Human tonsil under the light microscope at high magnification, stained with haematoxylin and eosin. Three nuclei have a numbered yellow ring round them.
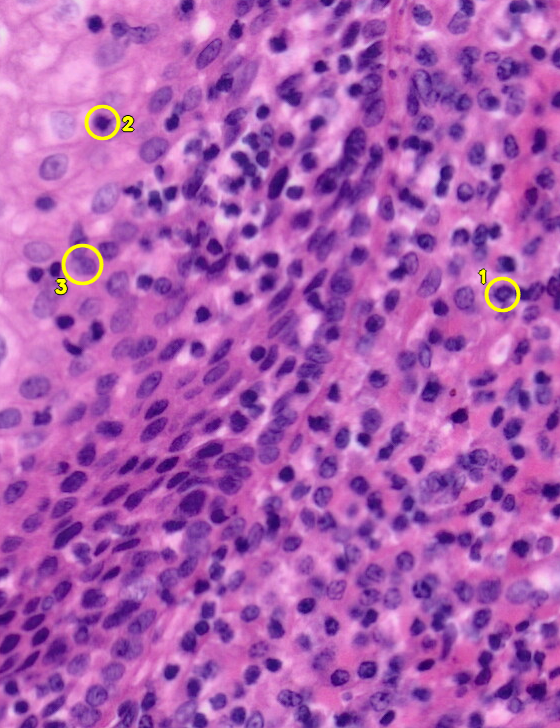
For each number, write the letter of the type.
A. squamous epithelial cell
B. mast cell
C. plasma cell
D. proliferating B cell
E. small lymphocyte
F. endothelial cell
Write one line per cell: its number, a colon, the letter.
1: C
2: A
3: A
